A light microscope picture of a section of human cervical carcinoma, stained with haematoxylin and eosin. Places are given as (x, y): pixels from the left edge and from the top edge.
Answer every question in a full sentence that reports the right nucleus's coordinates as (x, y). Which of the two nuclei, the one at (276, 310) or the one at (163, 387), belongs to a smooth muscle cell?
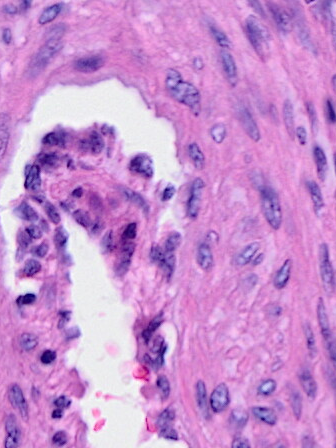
The nucleus at (276, 310) is contained in a smooth muscle cell.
